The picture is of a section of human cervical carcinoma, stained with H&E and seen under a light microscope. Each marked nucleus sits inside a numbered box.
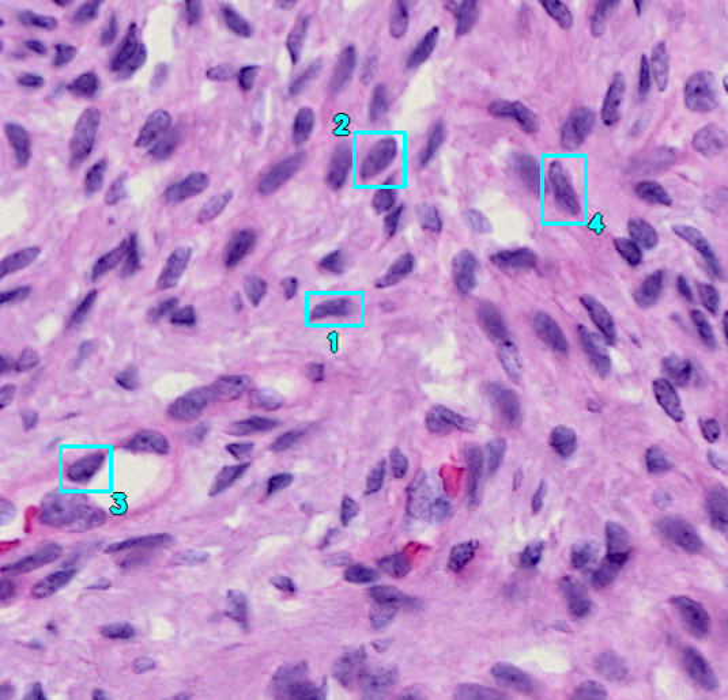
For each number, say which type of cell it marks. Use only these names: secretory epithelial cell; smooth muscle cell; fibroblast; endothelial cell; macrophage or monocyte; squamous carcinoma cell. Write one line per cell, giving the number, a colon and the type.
1: fibroblast
2: fibroblast
3: endothelial cell
4: fibroblast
